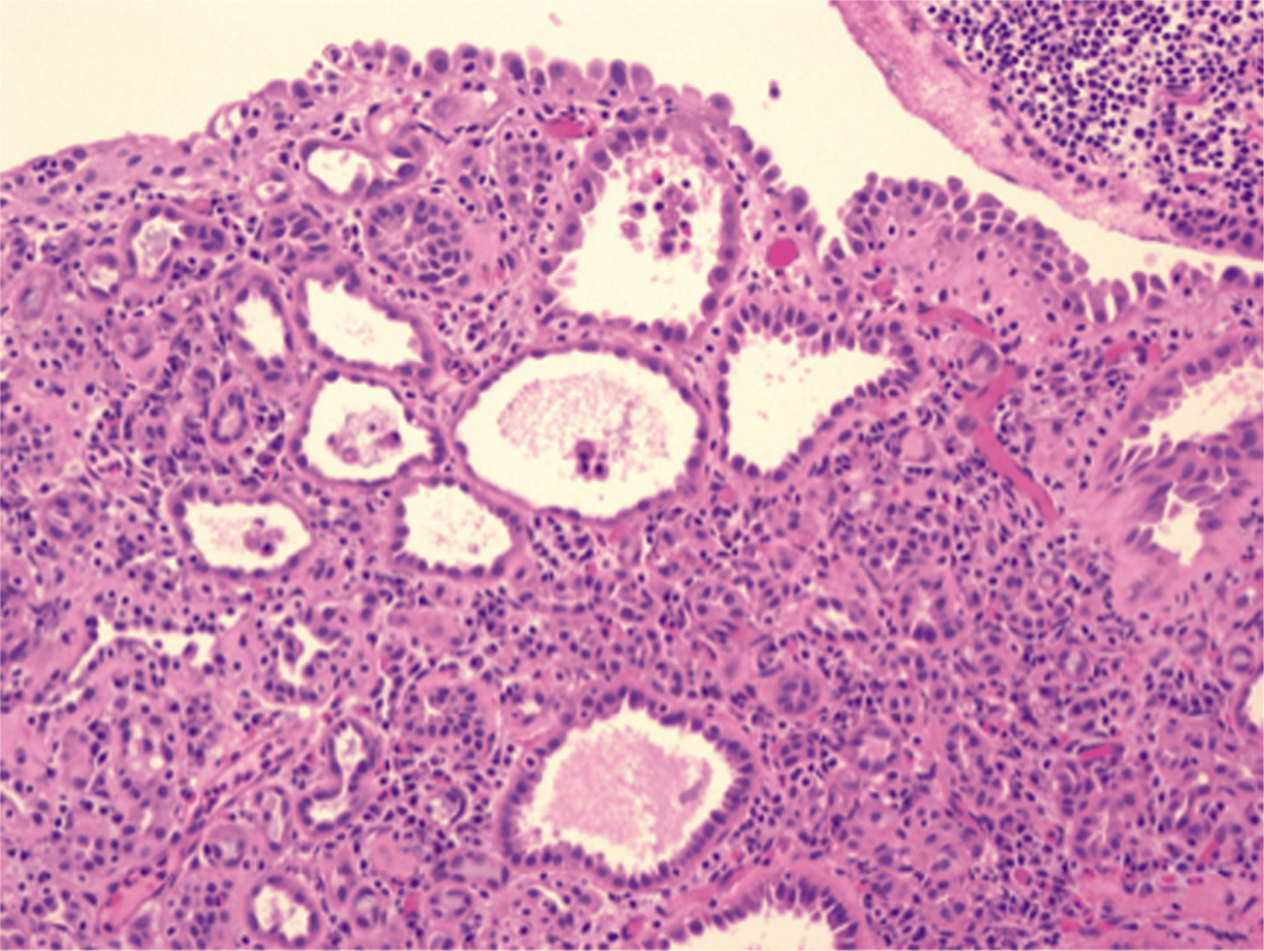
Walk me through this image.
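The tubules vary from small closed rings to wider cyst-like spaces, several holding pale pink material and a few loose cells. The lining cells are low and cuboidal, with round, fairly uniform purple nuclei and little sign of atypia. The surface is covered by a single row of similar cells whose nuclei bulge into the lumen. Between the tubules the stroma is packed with small round dark inflammatory cells, and a dense collection of them fills the upper right corner.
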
